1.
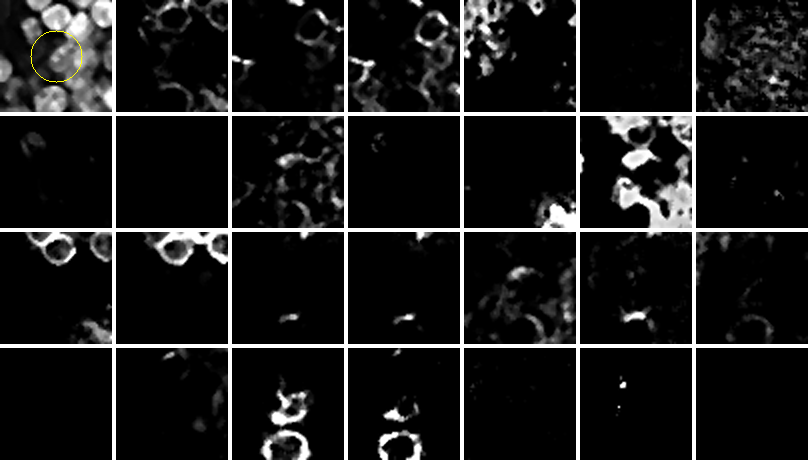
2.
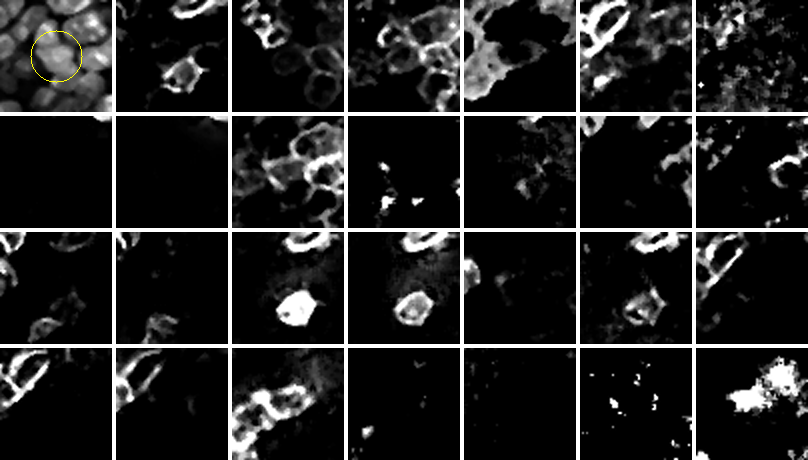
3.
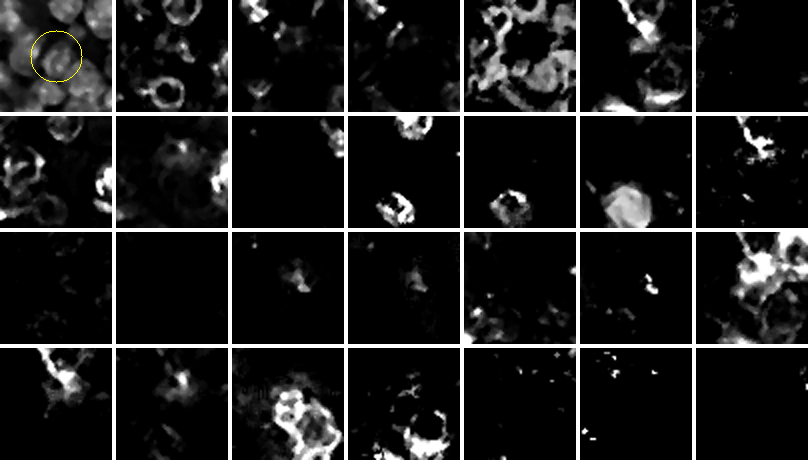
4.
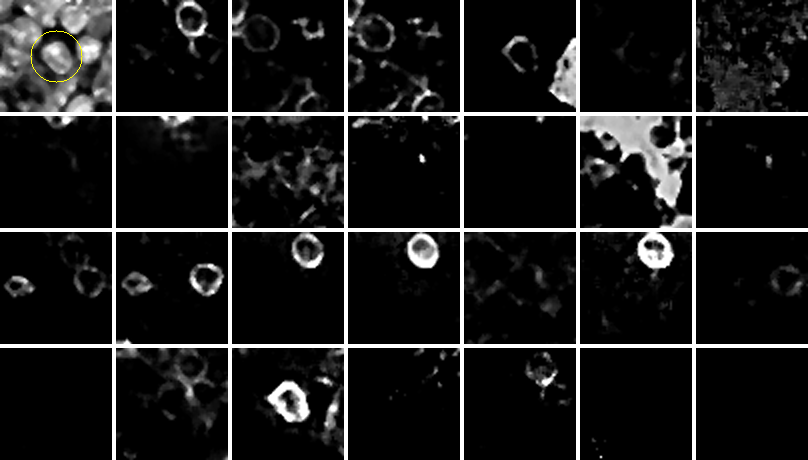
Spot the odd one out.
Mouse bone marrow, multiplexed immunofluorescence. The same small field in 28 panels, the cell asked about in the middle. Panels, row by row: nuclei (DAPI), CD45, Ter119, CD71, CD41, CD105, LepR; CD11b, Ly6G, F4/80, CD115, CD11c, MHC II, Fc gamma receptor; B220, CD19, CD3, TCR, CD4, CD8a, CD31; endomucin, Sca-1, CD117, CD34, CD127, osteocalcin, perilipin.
Picture 2 (an erythroid progenitor (CFU-E) among megakaryocyte-erythroid progenitors).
